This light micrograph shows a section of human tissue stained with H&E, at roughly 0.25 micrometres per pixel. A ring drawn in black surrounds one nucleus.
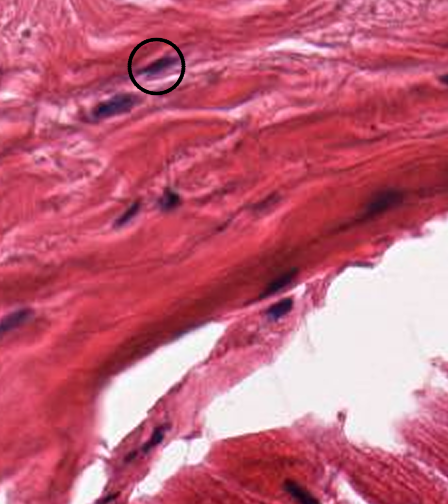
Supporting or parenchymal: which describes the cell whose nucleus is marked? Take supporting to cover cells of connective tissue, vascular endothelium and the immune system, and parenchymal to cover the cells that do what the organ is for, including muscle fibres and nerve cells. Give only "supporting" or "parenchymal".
supporting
